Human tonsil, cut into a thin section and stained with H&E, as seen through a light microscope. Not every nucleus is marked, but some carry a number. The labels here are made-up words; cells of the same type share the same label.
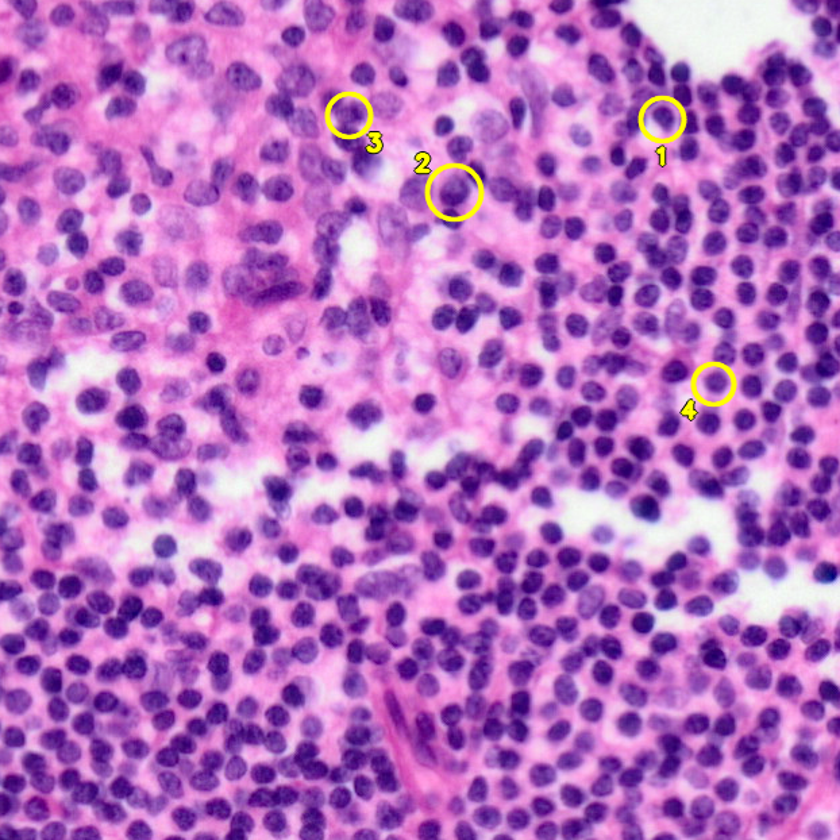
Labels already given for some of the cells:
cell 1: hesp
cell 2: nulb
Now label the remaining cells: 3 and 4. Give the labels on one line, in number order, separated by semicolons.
nulb; hesp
